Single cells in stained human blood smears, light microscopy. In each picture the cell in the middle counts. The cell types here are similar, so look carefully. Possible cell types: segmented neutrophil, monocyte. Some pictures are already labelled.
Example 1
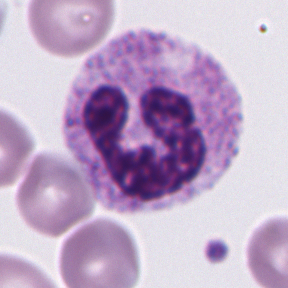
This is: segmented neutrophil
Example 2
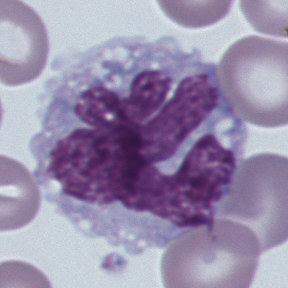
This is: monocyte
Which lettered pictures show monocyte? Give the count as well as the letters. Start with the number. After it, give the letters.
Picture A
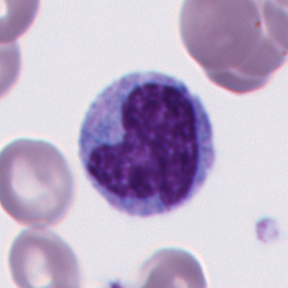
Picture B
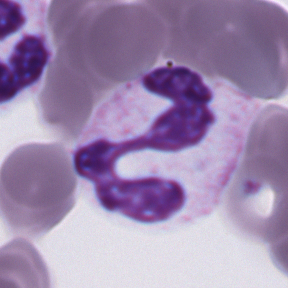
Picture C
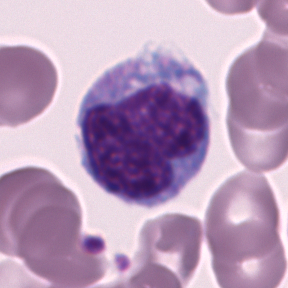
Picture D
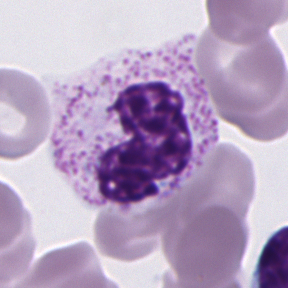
2: A, C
